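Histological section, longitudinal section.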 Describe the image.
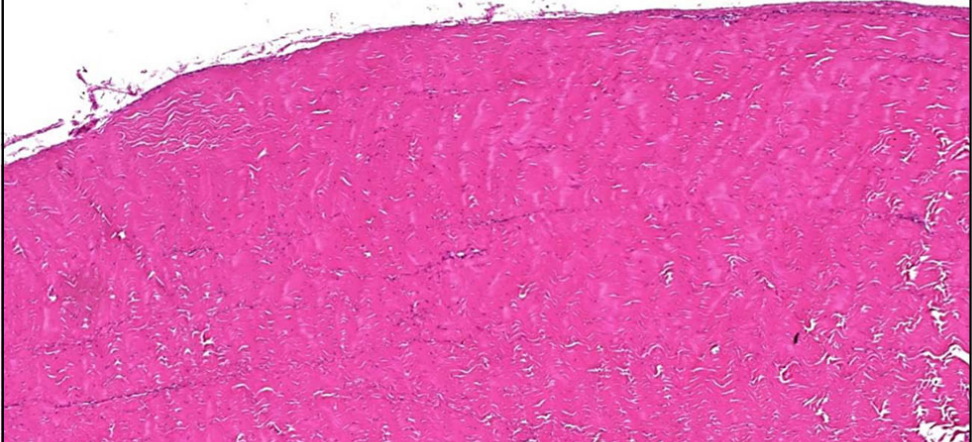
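This is dense fibrous connective tissue of a tendon, cut along its length. Closely packed, strongly pink collagen fibres run parallel in one direction across the field and are slightly wavy. A thin, loose outer layer runs along the upper surface.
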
